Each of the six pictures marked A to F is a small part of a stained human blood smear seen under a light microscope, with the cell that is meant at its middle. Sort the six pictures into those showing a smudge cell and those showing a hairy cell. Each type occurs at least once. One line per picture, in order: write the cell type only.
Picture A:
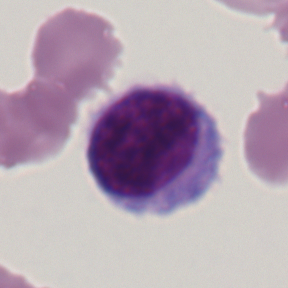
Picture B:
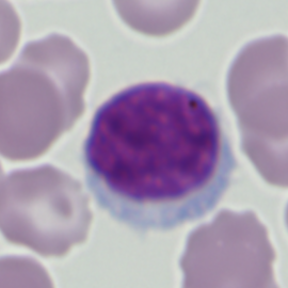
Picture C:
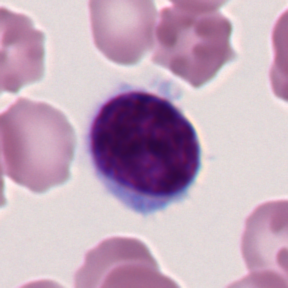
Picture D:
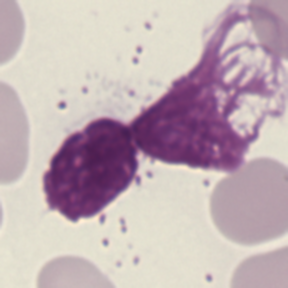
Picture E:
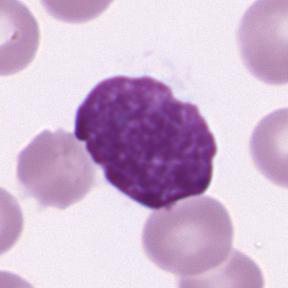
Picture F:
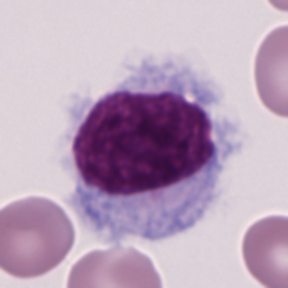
hairy cell
hairy cell
hairy cell
smudge cell
smudge cell
hairy cell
